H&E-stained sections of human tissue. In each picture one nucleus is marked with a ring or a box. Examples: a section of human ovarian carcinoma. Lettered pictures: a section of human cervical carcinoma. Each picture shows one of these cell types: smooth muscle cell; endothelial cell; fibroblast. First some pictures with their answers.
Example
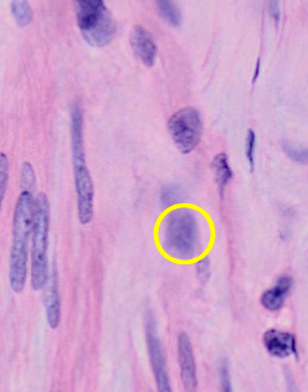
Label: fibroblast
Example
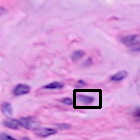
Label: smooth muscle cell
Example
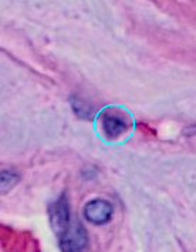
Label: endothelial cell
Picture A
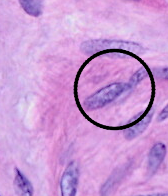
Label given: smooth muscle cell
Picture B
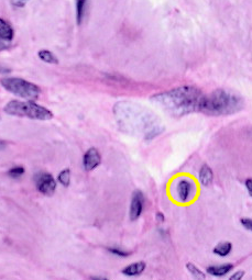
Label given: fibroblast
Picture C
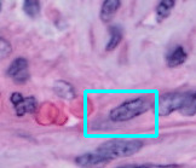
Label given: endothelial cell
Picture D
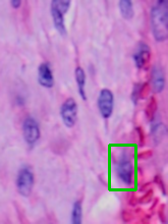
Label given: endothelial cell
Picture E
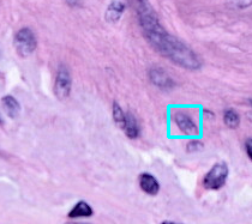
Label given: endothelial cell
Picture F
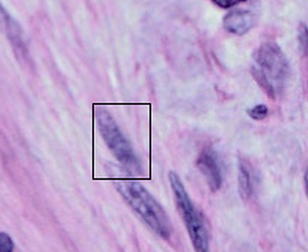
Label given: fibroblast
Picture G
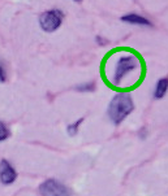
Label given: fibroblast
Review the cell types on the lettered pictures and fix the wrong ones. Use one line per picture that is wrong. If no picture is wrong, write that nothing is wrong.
E is labelled endothelial cell; correct label: smooth muscle cell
